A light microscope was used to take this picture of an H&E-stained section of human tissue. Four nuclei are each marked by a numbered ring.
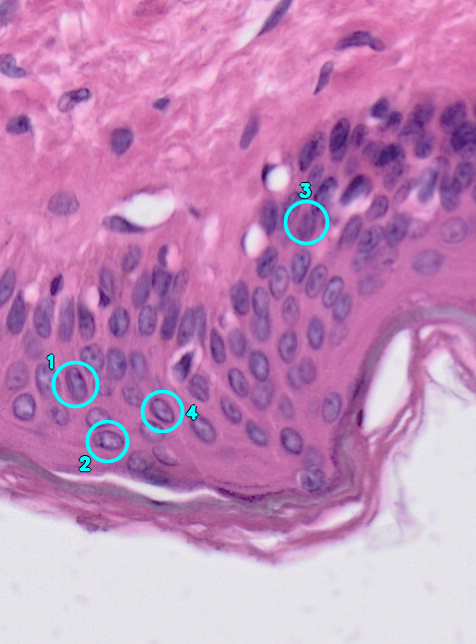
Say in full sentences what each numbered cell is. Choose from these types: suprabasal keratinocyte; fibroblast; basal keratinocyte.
Cells 1, 2 and 4 are suprabasal keratinocytes. Cell 3 is a basal keratinocyte.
